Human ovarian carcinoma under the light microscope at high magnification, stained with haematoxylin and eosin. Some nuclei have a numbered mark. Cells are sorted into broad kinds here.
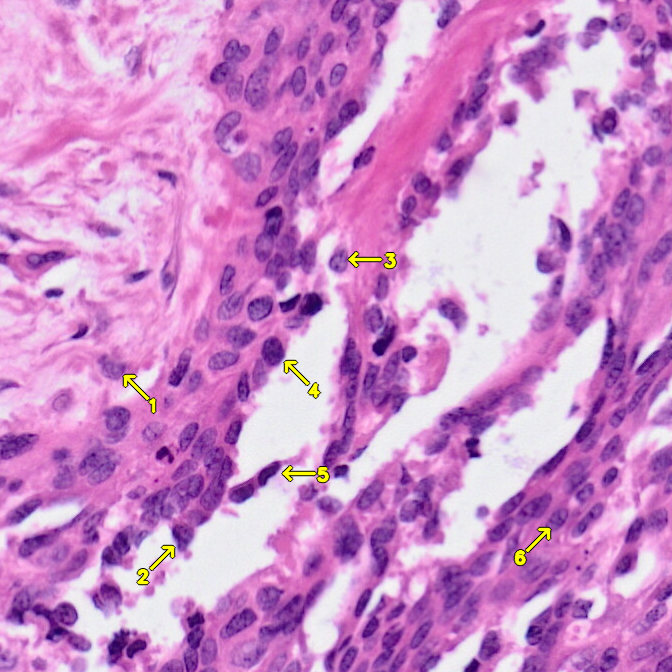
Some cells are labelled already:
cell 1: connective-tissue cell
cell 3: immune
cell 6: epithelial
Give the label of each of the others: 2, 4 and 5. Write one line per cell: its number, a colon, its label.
2: epithelial
4: epithelial
5: epithelial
